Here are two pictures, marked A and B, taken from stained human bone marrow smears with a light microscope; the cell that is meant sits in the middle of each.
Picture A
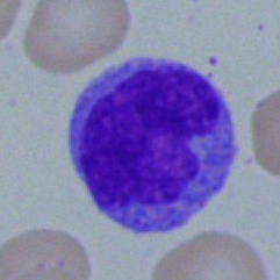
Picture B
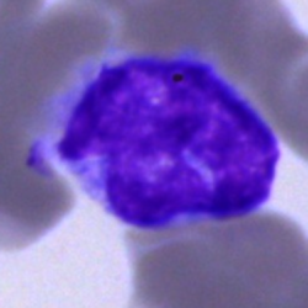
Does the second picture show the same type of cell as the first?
yes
